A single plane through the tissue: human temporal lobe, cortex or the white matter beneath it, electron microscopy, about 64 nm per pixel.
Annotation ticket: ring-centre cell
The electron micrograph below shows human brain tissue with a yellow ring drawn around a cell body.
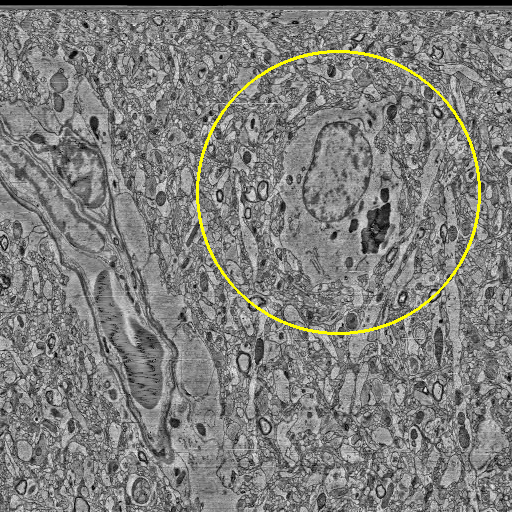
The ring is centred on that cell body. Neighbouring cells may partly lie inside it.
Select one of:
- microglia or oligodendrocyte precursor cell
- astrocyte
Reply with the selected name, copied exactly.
astrocyte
